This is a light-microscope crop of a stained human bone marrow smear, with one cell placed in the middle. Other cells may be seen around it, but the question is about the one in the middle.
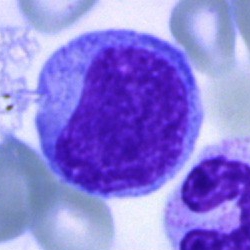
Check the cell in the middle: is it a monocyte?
no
